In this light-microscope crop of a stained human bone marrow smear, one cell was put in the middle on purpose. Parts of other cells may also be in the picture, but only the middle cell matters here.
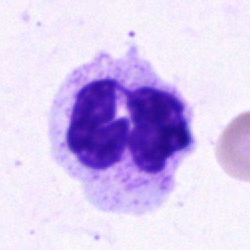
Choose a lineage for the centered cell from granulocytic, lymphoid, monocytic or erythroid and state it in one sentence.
From the granulocytic lineage comes the cell in the middle of the crop.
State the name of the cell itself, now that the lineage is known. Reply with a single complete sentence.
At the middle of the frame sits a segmented neutrophil.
